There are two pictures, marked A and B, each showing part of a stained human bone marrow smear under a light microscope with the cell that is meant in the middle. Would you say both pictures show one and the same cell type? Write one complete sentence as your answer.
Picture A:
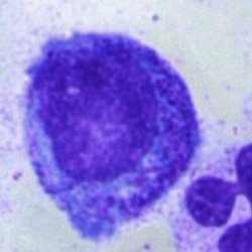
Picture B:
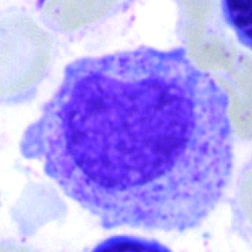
Yes, they are the same type: both are promyelocytes.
